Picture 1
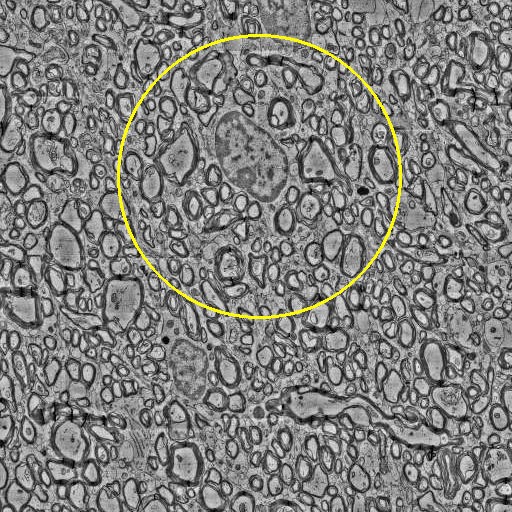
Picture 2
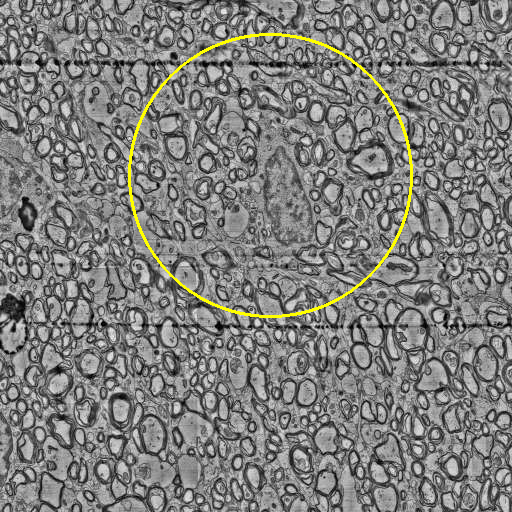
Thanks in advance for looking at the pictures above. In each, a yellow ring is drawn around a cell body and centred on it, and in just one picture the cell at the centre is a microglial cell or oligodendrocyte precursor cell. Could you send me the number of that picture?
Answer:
1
